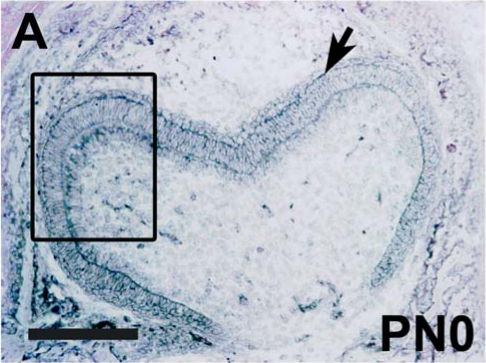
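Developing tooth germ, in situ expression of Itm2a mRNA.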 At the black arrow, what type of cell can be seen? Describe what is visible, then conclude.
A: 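The arrow points to a layer of tall columnar cells lining the tooth germ's contour. This layer faces the pale central mass of loosely arranged cells. On this evidence: inner enamel epithelial cells.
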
